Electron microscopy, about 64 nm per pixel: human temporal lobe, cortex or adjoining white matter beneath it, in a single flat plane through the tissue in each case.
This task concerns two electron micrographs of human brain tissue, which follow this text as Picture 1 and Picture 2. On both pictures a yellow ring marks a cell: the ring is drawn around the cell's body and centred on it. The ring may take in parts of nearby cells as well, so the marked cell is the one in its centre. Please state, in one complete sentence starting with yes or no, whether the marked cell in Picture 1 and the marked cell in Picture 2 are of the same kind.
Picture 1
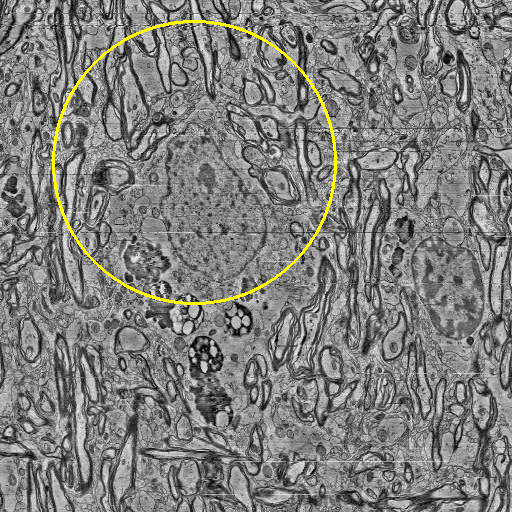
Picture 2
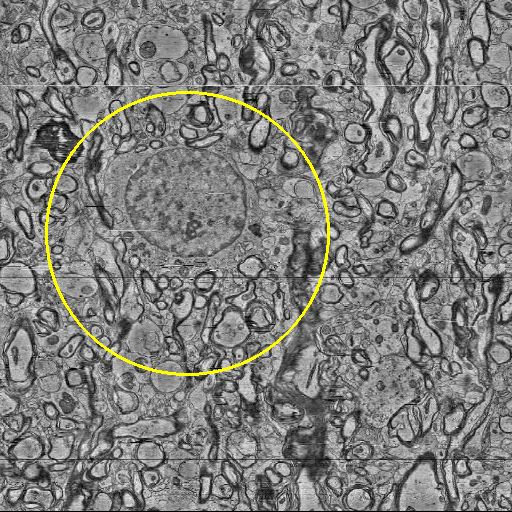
No, the marked cells in the two pictures are of two kinds.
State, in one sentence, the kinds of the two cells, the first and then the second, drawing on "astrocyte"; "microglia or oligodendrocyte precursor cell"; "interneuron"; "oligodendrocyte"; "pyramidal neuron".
The ring in the second picture is centred on an oligodendrocyte, the ring in the first on an astrocyte.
